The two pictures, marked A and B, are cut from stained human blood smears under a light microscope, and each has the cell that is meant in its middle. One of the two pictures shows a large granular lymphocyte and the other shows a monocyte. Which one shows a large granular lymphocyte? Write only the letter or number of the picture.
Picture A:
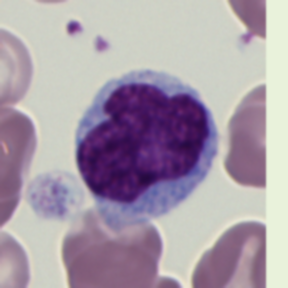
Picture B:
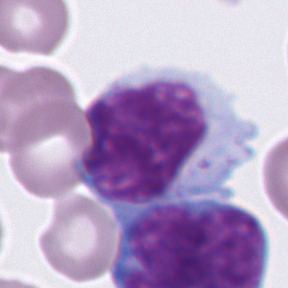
B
